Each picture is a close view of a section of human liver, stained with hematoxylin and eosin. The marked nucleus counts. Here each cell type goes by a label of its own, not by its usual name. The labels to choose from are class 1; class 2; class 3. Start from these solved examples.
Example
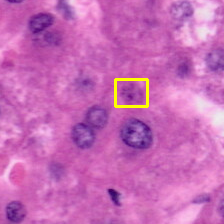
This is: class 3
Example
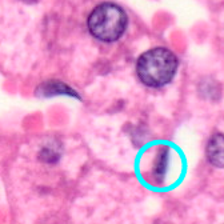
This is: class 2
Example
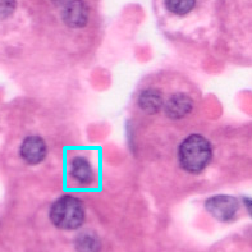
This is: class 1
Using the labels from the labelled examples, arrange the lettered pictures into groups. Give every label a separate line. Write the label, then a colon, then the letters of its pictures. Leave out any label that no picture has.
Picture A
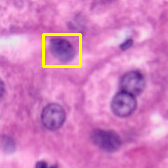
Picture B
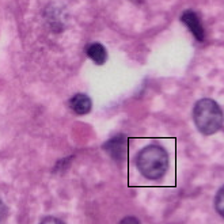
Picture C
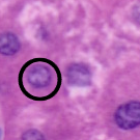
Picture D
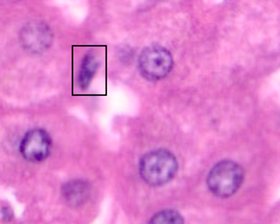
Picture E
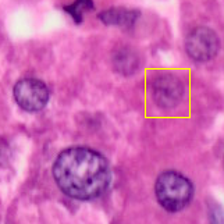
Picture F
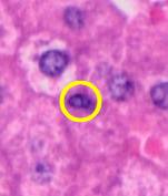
class 1: D, F
class 2: A
class 3: B, C, E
